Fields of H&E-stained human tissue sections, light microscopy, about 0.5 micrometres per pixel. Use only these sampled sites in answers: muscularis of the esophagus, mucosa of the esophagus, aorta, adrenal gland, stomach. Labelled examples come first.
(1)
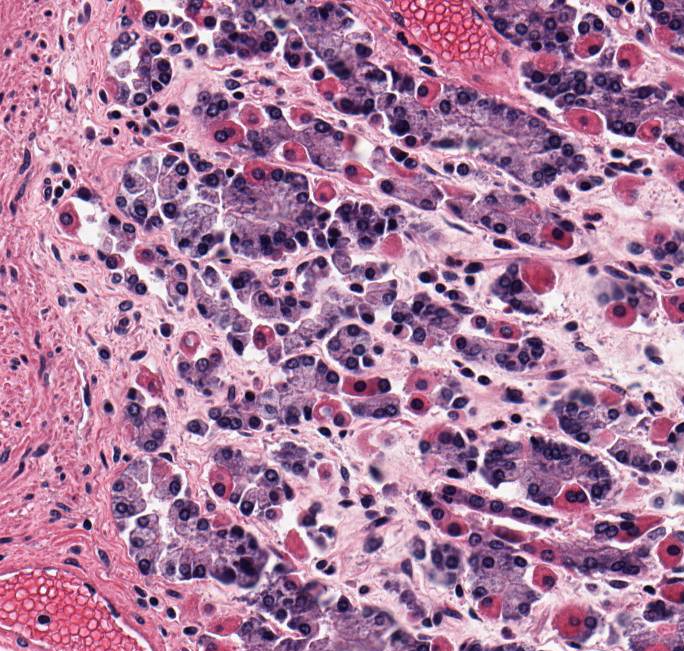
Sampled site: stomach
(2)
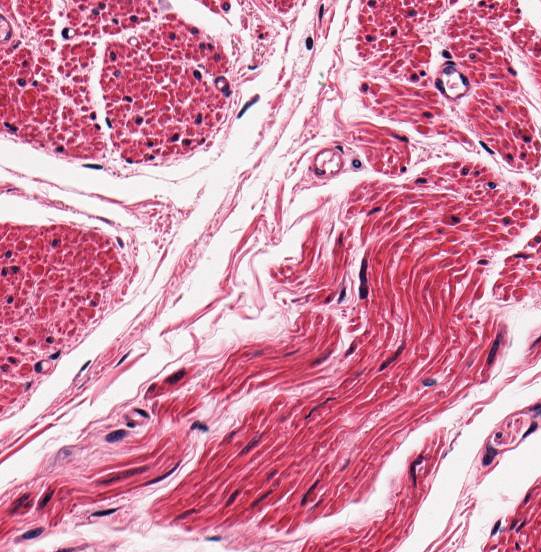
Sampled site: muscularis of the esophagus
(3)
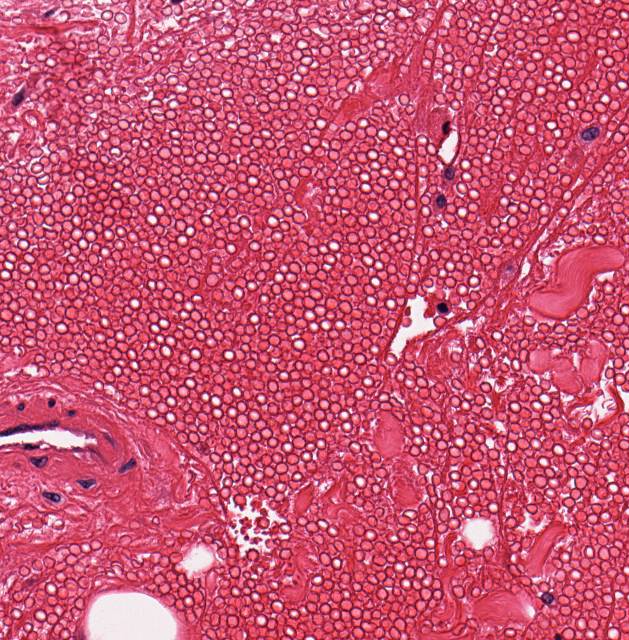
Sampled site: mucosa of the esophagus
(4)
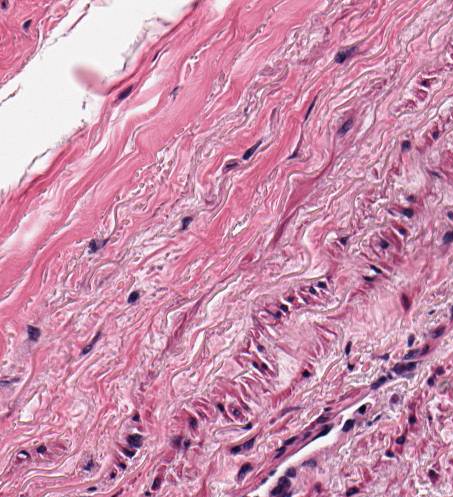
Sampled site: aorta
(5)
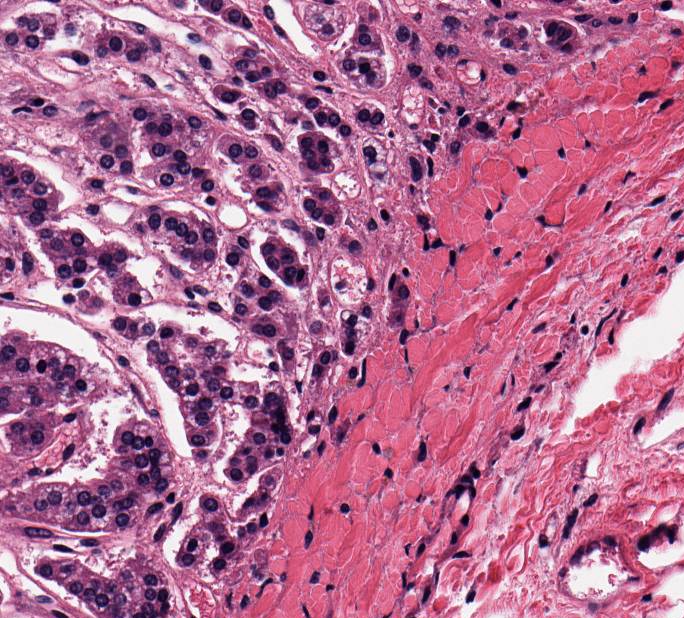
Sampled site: adrenal gland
